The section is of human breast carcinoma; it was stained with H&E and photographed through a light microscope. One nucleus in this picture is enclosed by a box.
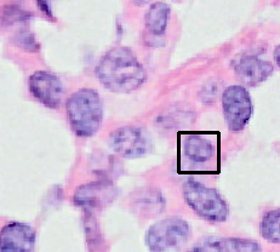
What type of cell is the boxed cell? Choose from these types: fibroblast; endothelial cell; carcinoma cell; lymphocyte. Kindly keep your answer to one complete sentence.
Speaking plainly, the boxed cell is nothing other than a carcinoma cell.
